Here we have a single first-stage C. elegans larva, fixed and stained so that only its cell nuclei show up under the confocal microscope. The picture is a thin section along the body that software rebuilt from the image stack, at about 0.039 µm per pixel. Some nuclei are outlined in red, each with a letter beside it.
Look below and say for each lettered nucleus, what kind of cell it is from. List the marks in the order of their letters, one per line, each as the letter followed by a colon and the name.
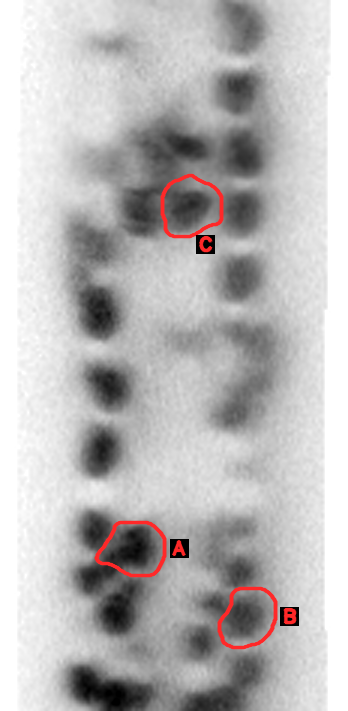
A: GLR cell
B: neuron
C: pharyngeal muscle cell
